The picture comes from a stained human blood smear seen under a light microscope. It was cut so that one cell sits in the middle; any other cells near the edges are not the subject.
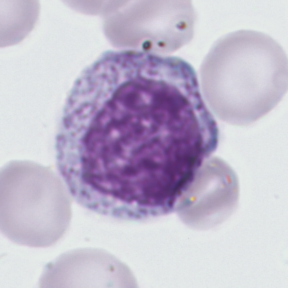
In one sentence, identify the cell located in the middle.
At the middle of the frame sits a myelocyte.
